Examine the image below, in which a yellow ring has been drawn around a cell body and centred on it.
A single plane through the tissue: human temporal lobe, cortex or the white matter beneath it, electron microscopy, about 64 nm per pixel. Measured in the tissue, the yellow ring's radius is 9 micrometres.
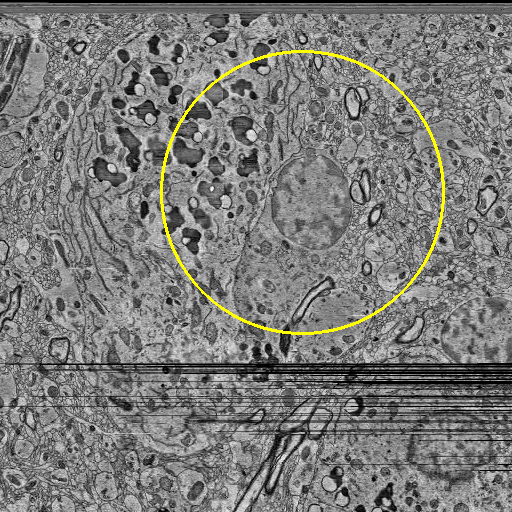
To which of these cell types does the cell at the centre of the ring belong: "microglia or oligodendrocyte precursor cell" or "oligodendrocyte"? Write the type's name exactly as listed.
oligodendrocyte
